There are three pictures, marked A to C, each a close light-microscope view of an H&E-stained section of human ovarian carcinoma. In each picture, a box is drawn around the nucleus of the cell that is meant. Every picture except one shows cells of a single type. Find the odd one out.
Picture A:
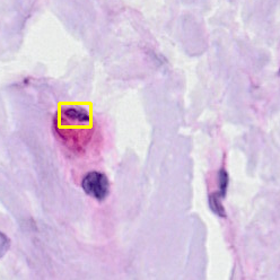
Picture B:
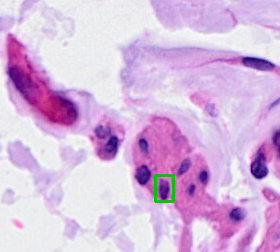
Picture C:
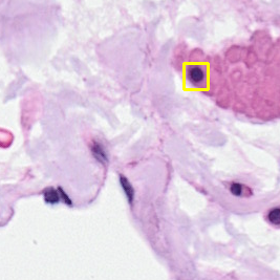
A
